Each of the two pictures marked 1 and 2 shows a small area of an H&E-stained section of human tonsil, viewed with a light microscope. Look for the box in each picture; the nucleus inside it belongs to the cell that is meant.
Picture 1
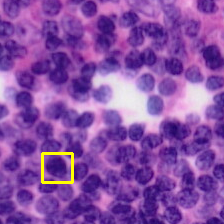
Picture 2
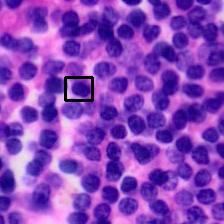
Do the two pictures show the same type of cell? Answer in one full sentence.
Yes; the cells in both pictures are small lymphocytes.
